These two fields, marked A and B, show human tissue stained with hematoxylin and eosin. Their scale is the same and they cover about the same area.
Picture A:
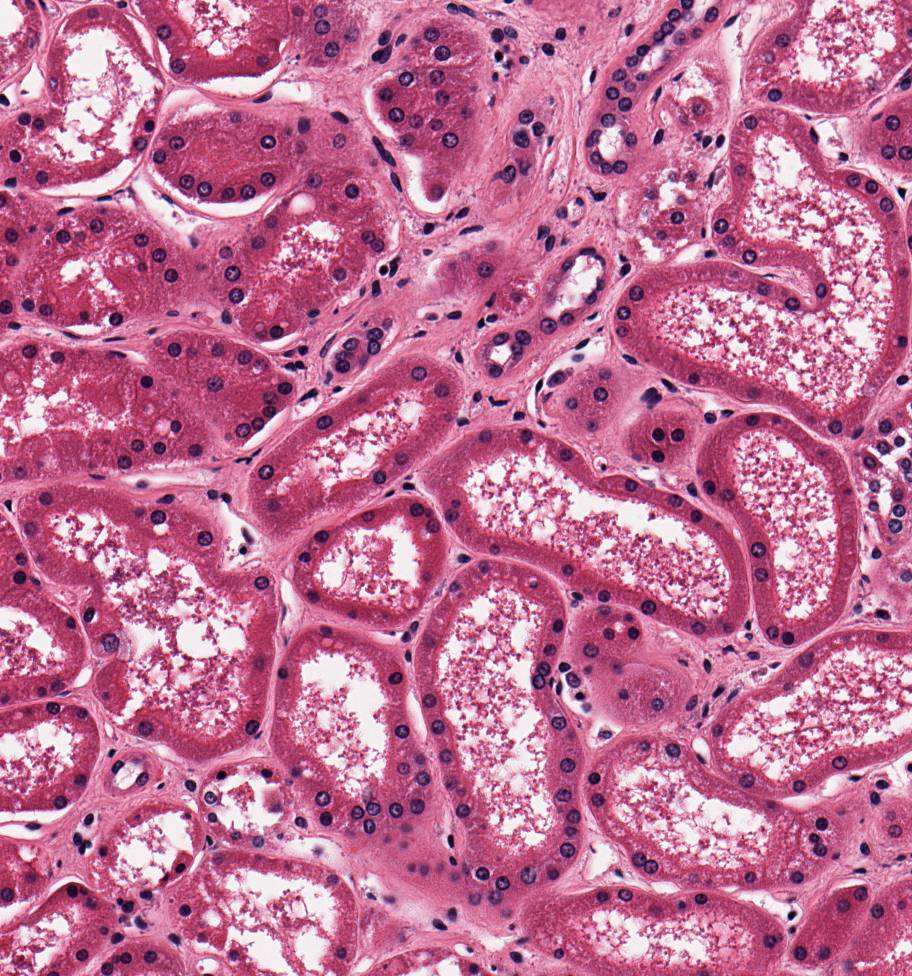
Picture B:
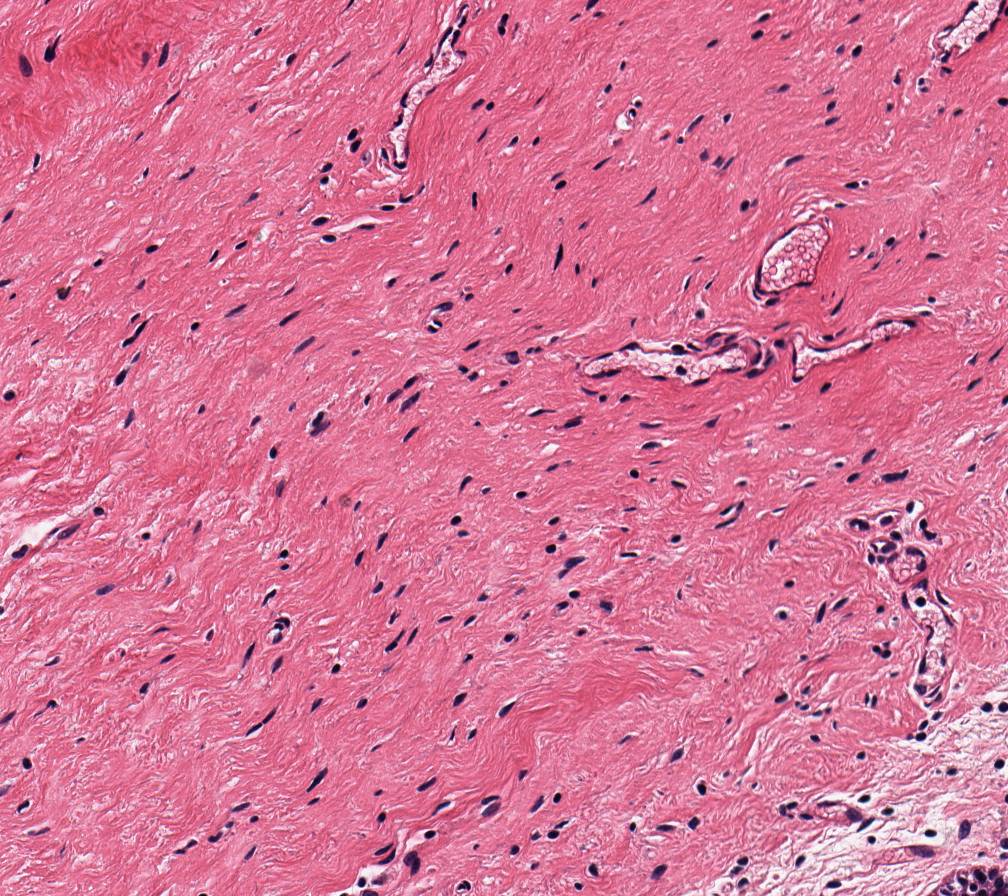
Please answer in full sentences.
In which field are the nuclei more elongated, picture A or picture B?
The nuclei are more elongated in picture B.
